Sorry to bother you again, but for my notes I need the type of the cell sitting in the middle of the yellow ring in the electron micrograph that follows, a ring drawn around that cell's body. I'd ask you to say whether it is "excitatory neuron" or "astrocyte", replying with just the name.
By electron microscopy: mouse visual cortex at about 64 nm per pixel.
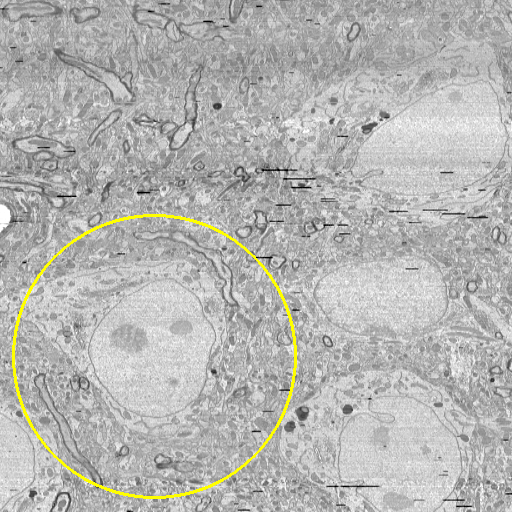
excitatory neuron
